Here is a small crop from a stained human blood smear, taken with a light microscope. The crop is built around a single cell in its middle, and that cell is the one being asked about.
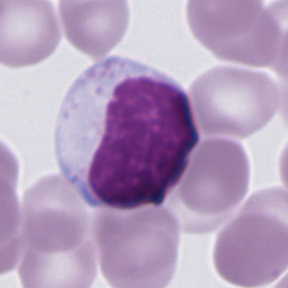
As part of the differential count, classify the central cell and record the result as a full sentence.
By type, the central cell of the crop is a large granular lymphocyte.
